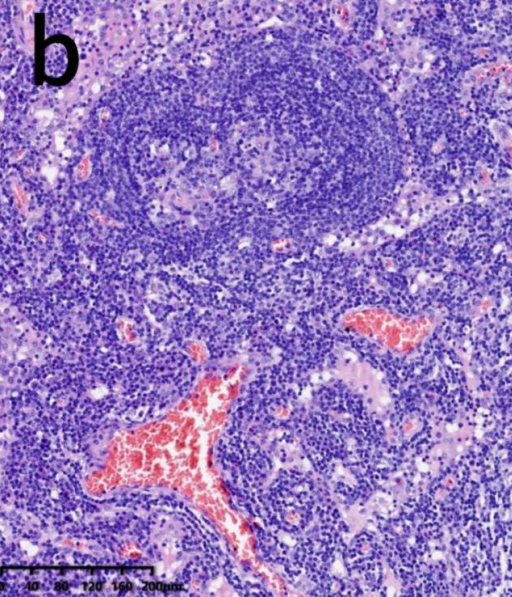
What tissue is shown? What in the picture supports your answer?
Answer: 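Lymph nodes. Sheets of small dark round lymphocytes fill the field. A rounded follicle with a paler centre lies at the top. Blood vessels filled with red cells run through the lymphoid tissue.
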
